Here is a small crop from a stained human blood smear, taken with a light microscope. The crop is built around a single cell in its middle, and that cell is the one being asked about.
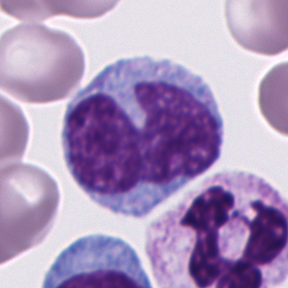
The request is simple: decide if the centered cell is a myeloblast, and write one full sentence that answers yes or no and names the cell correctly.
No, the identification should read a monocyte, not a myeloblast, for the central cell.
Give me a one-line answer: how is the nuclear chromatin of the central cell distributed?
The key point is fine chromatin with no coarse clumps.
